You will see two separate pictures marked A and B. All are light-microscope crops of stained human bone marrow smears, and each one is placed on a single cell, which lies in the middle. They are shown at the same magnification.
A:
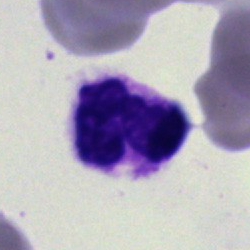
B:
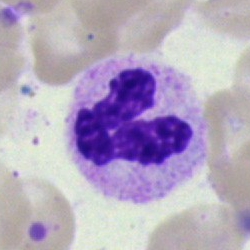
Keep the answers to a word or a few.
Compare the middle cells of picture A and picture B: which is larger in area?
B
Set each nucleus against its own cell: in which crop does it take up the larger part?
A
